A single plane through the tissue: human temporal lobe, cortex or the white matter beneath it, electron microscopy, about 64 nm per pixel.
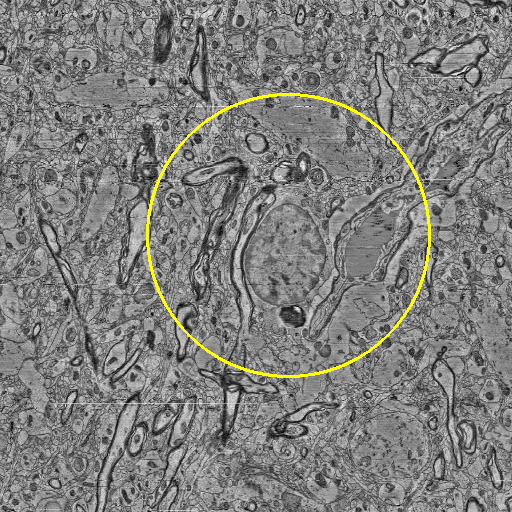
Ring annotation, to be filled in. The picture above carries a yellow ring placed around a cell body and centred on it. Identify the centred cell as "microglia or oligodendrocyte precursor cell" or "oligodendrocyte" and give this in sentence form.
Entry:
The cell in the middle of the ring is an oligodendrocyte.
